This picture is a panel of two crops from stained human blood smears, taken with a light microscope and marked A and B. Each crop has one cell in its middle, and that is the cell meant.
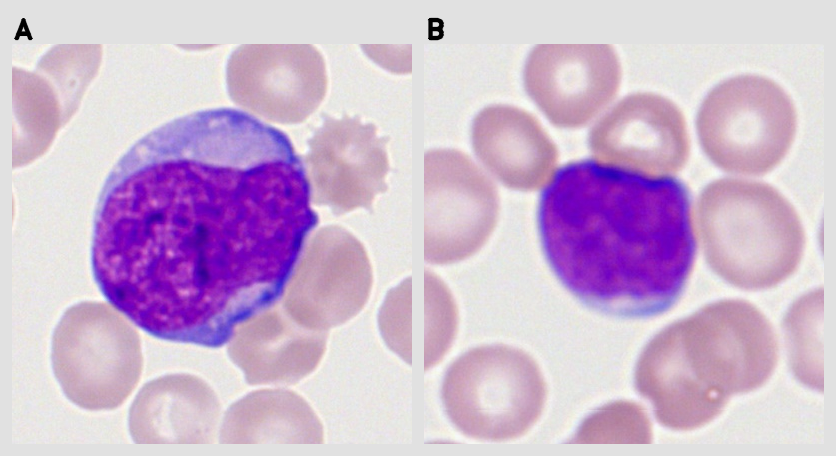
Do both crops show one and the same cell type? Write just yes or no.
yes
